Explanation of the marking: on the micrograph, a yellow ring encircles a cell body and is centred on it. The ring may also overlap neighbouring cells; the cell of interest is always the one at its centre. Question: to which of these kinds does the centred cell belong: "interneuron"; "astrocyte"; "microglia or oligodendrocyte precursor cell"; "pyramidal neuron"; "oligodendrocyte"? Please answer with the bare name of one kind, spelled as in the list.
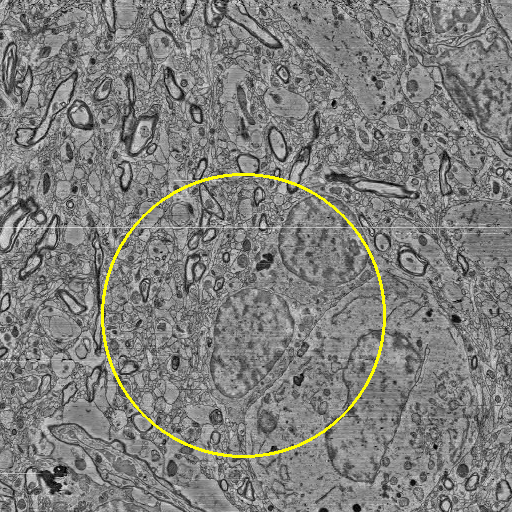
oligodendrocyte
